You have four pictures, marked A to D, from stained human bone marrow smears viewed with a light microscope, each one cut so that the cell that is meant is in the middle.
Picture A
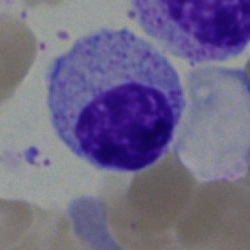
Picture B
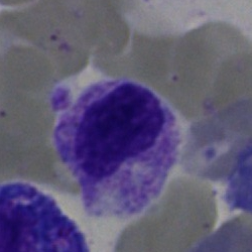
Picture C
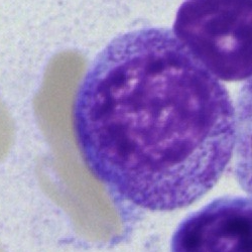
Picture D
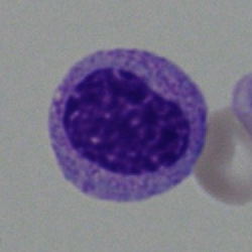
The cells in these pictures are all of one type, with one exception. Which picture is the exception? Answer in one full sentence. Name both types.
Unlike the rest, which show myelocytes, picture D shows a metamyelocyte.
